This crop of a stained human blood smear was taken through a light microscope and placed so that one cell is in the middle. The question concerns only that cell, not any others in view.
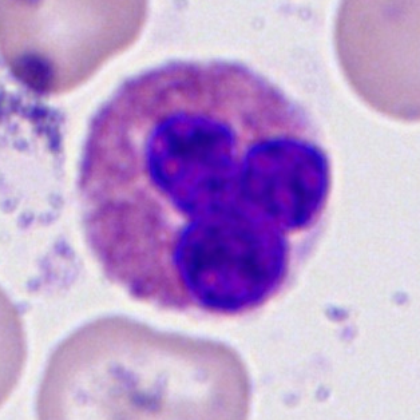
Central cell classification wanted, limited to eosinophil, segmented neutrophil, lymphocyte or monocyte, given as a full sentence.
At the middle of the frame sits an eosinophil.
